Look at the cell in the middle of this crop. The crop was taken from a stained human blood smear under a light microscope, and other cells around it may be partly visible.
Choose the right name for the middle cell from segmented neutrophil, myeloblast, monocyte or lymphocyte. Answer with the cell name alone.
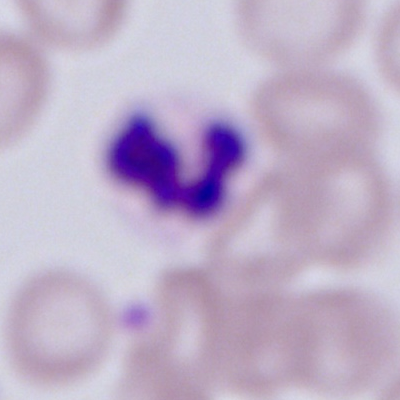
segmented neutrophil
